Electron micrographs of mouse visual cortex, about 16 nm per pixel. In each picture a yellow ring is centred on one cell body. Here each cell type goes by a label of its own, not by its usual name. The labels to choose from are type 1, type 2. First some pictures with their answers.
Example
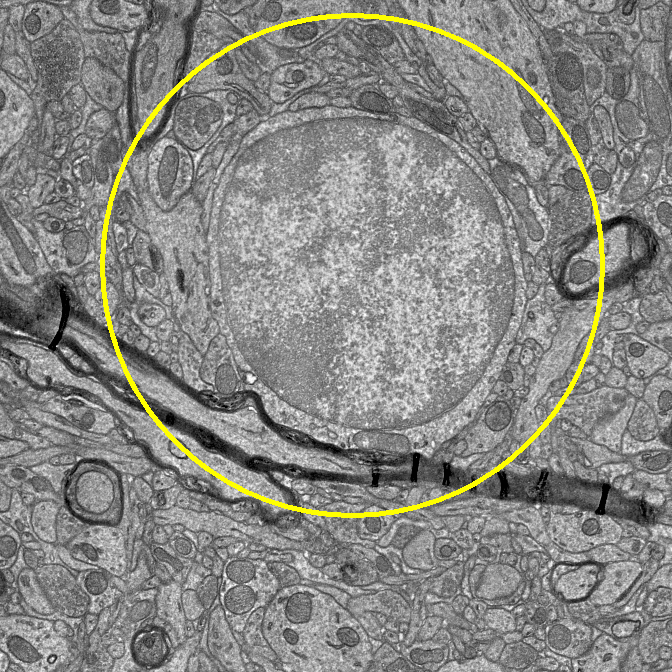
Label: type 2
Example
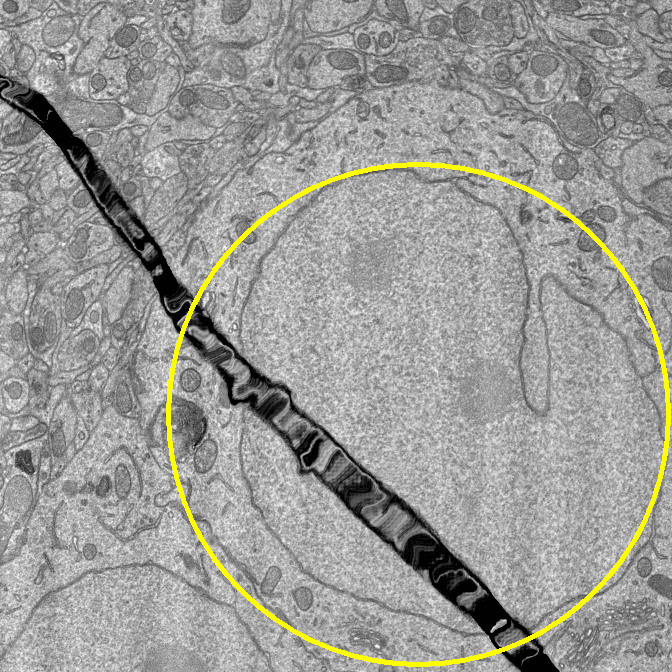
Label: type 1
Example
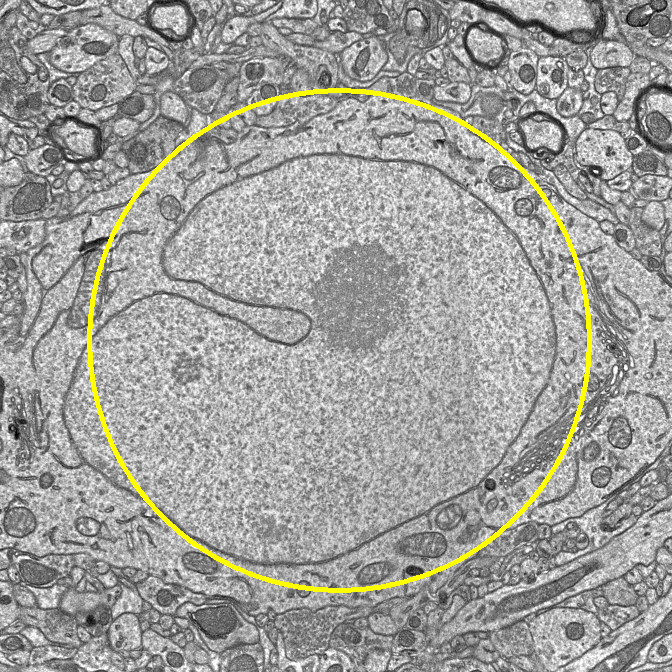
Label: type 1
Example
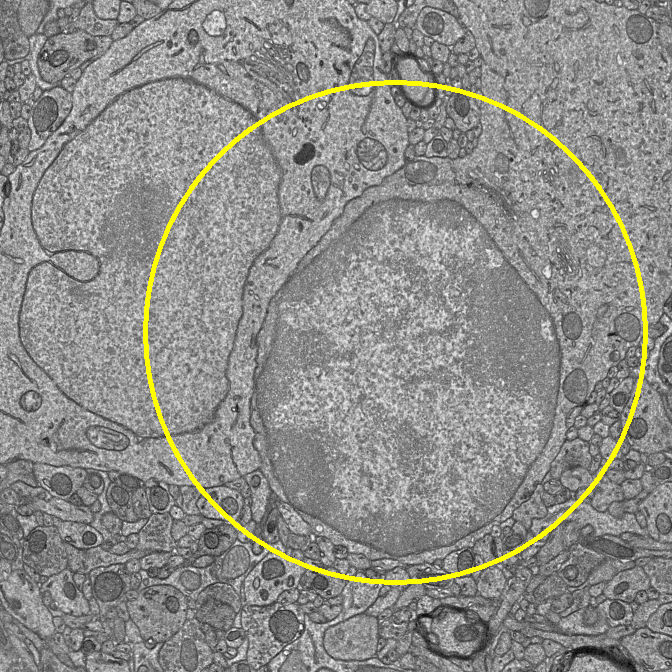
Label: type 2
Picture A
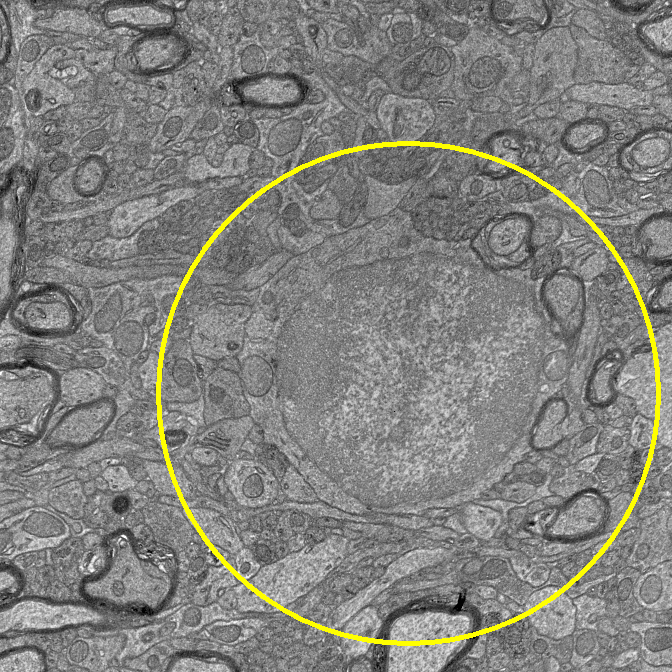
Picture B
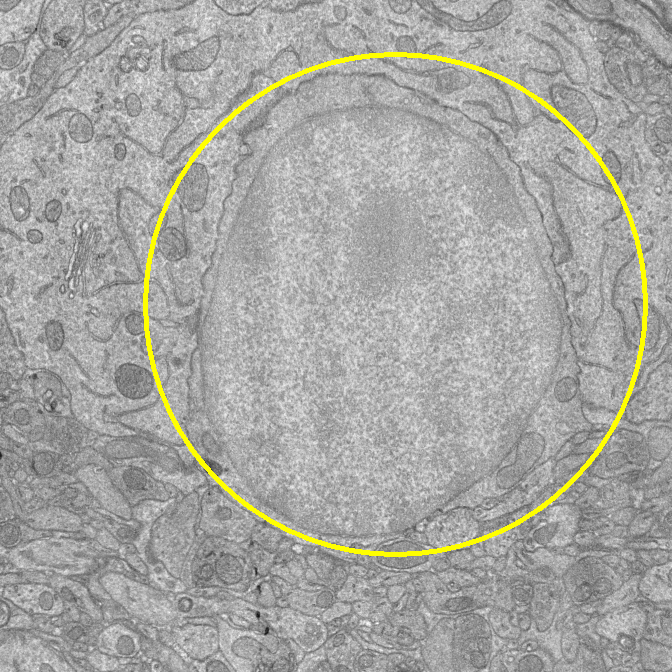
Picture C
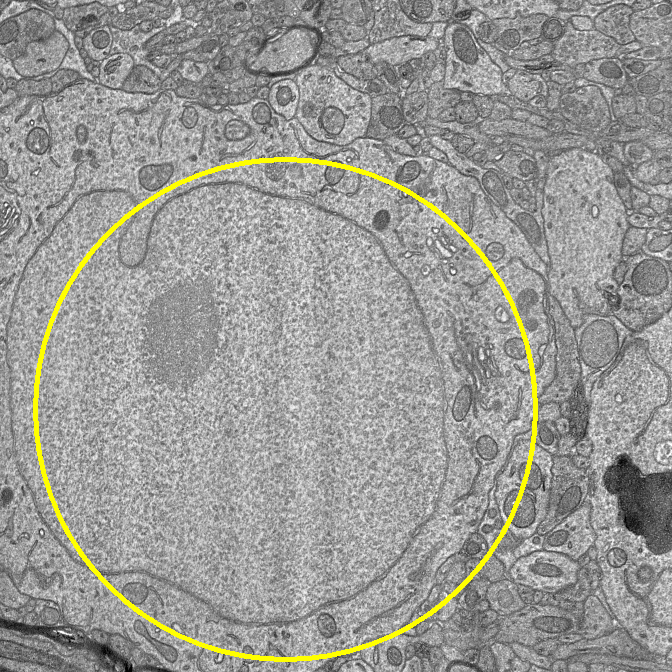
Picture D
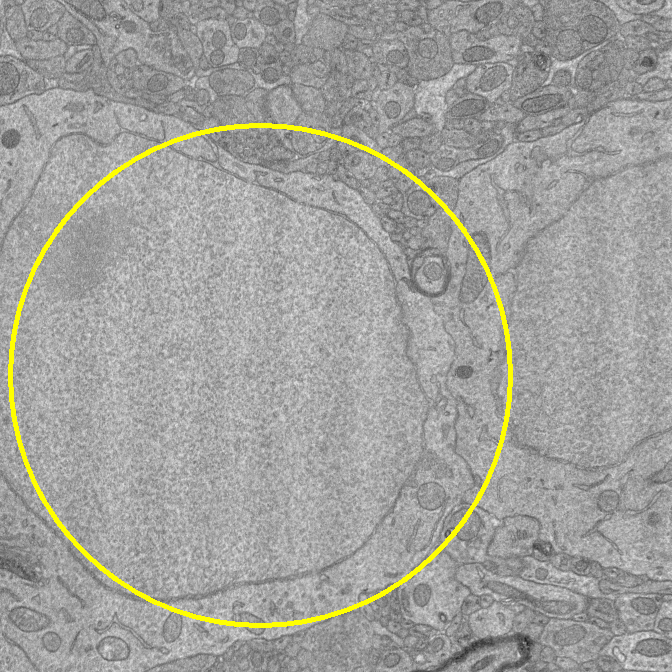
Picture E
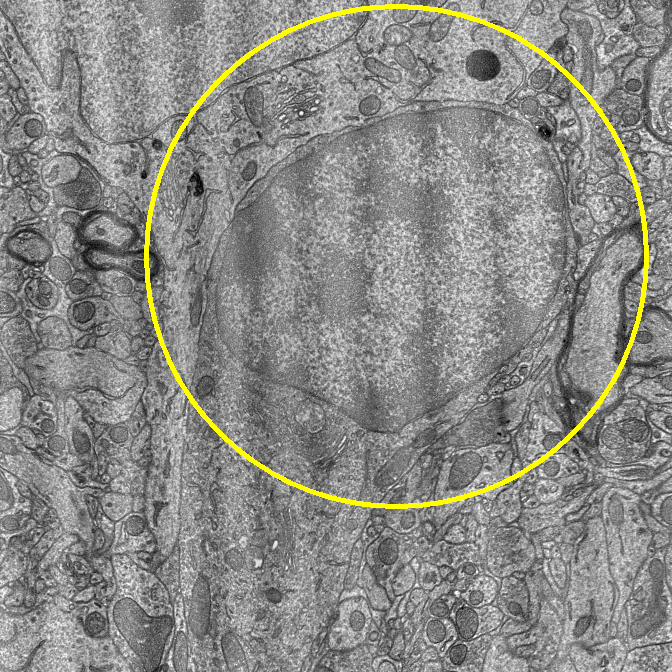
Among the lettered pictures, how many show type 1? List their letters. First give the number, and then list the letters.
2: C, D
